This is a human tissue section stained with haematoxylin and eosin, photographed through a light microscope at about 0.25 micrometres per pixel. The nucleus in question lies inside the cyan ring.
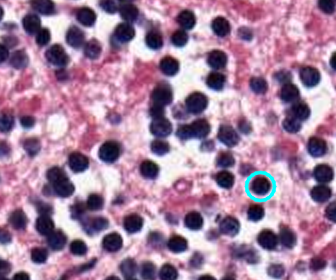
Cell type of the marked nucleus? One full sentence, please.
The marked nucleus is identified as belonging to a cerebellar granule cell.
